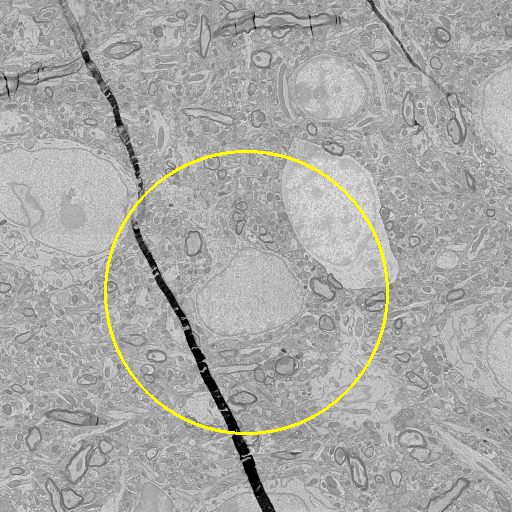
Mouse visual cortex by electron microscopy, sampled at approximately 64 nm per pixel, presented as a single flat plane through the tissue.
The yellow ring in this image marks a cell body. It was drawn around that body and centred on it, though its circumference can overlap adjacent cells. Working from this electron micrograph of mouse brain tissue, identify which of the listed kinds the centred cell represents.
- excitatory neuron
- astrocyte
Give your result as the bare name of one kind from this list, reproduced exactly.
astrocyte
